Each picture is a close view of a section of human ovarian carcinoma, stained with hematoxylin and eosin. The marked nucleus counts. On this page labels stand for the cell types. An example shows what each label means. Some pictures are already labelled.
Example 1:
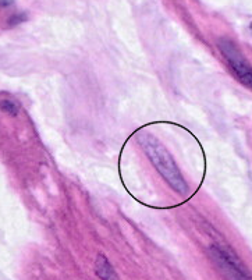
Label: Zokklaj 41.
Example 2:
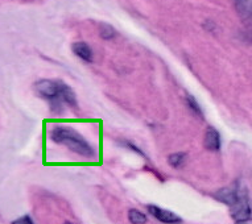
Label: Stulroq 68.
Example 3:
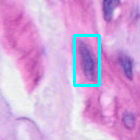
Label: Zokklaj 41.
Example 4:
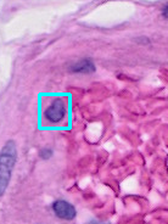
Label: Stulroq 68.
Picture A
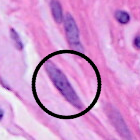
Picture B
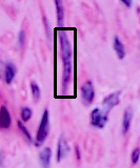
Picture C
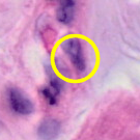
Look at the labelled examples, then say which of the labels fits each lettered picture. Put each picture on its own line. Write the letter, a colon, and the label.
A: Zokklaj 41.
B: Zokklaj 41.
C: Stulroq 68.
